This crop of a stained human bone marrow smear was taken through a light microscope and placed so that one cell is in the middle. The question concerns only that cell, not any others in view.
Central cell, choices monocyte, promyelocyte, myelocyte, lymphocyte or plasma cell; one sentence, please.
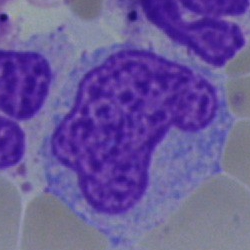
The cell nearest the centre of this crop is a monocyte.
